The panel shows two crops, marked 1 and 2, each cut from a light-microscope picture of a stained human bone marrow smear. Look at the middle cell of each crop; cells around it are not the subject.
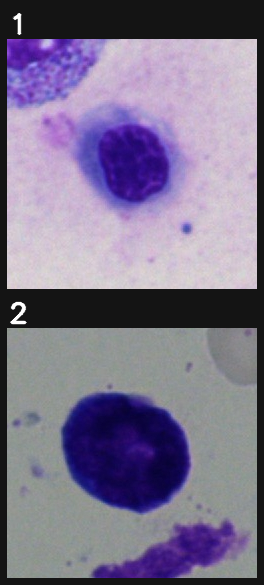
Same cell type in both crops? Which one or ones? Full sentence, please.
No, a normoblast is shown in crop 1 and a blast in crop 2.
